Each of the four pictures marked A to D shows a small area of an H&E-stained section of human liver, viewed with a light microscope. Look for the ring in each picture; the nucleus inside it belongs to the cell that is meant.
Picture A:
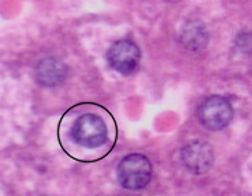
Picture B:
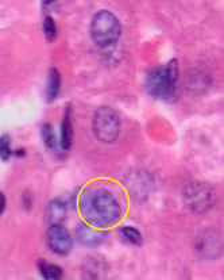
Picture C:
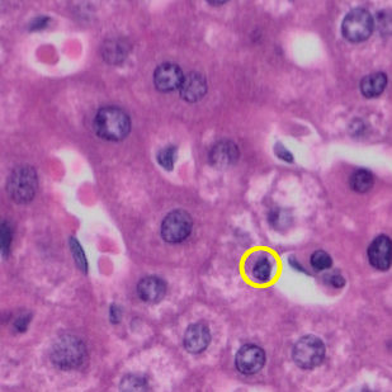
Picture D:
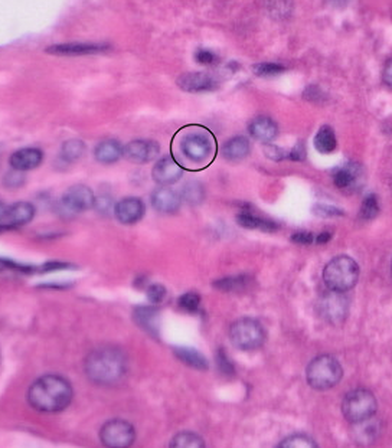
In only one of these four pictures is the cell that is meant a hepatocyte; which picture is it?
A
